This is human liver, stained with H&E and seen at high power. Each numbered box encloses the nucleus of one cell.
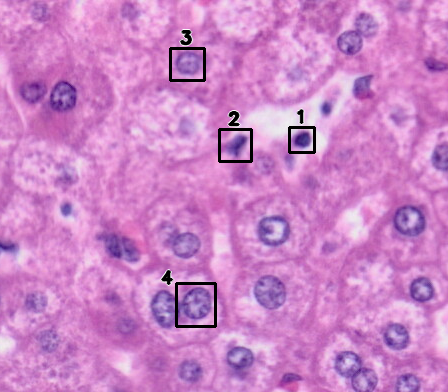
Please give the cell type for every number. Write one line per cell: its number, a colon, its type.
1: lymphocyte
2: endothelial cell
3: hepatocyte
4: hepatocyte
